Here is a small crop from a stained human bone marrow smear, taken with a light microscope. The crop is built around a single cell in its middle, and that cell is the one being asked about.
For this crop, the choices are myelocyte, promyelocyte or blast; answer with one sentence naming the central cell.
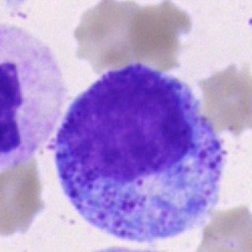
Answering briefly, the cell in the middle is a promyelocyte.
